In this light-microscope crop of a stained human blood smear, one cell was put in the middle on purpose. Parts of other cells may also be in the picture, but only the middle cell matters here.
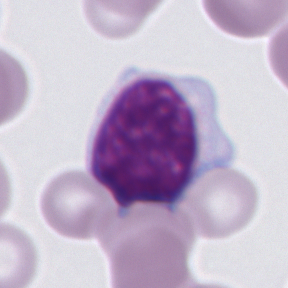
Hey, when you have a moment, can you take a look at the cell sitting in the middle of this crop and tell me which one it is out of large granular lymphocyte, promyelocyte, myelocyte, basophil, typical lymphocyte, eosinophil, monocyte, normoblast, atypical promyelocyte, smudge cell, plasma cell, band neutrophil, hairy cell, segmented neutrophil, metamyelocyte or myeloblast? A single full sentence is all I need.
The cell found in the middle of this crop is a large granular lymphocyte.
